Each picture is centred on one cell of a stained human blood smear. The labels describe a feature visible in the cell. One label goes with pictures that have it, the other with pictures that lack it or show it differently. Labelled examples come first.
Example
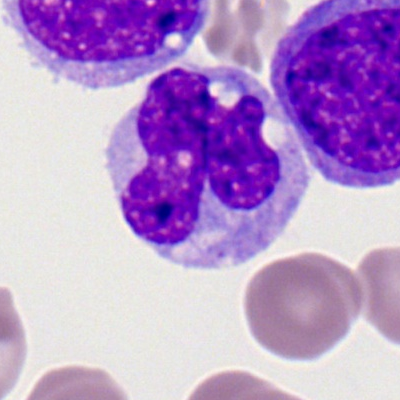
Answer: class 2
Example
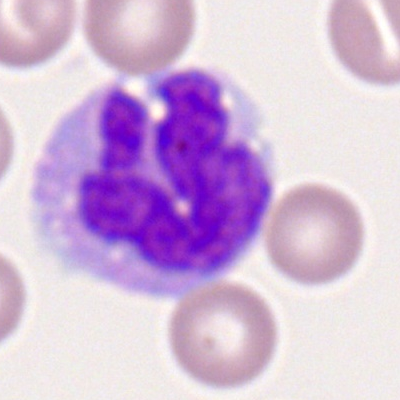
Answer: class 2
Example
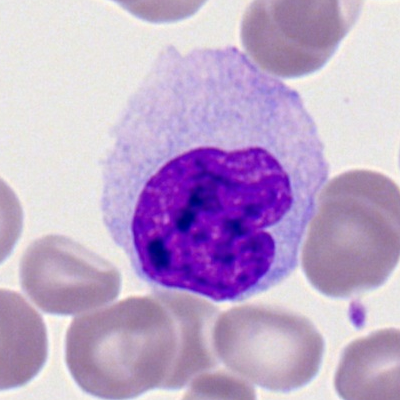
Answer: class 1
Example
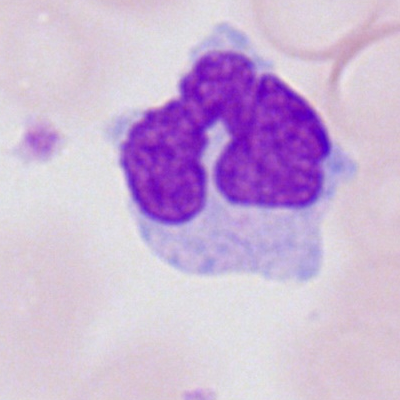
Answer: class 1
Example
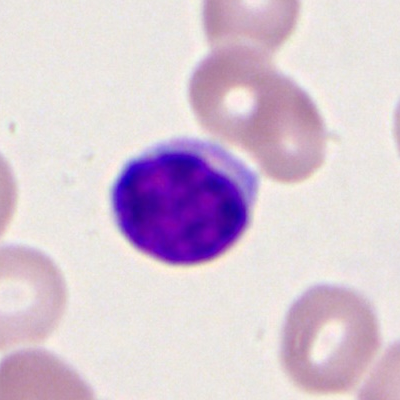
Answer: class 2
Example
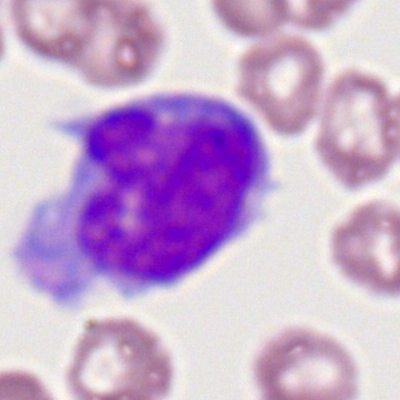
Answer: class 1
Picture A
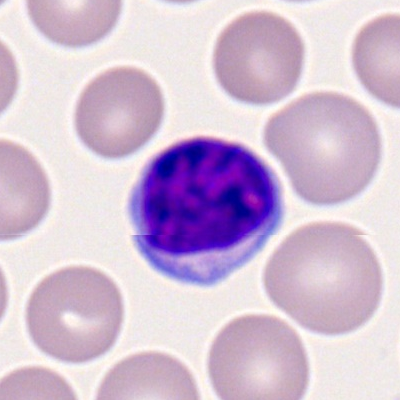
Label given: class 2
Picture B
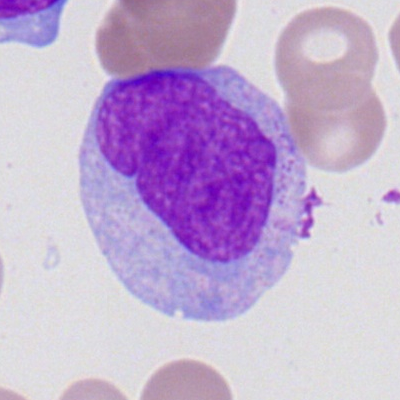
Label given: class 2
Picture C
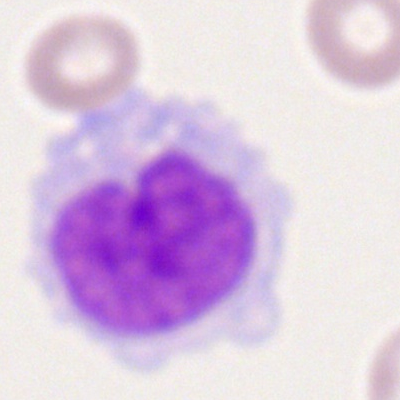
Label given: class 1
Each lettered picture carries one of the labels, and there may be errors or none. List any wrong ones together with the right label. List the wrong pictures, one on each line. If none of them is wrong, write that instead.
Every label is right.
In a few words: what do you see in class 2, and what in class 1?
Seen in class 2: smooth outline; seen in class 1: ragged outline or projections.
